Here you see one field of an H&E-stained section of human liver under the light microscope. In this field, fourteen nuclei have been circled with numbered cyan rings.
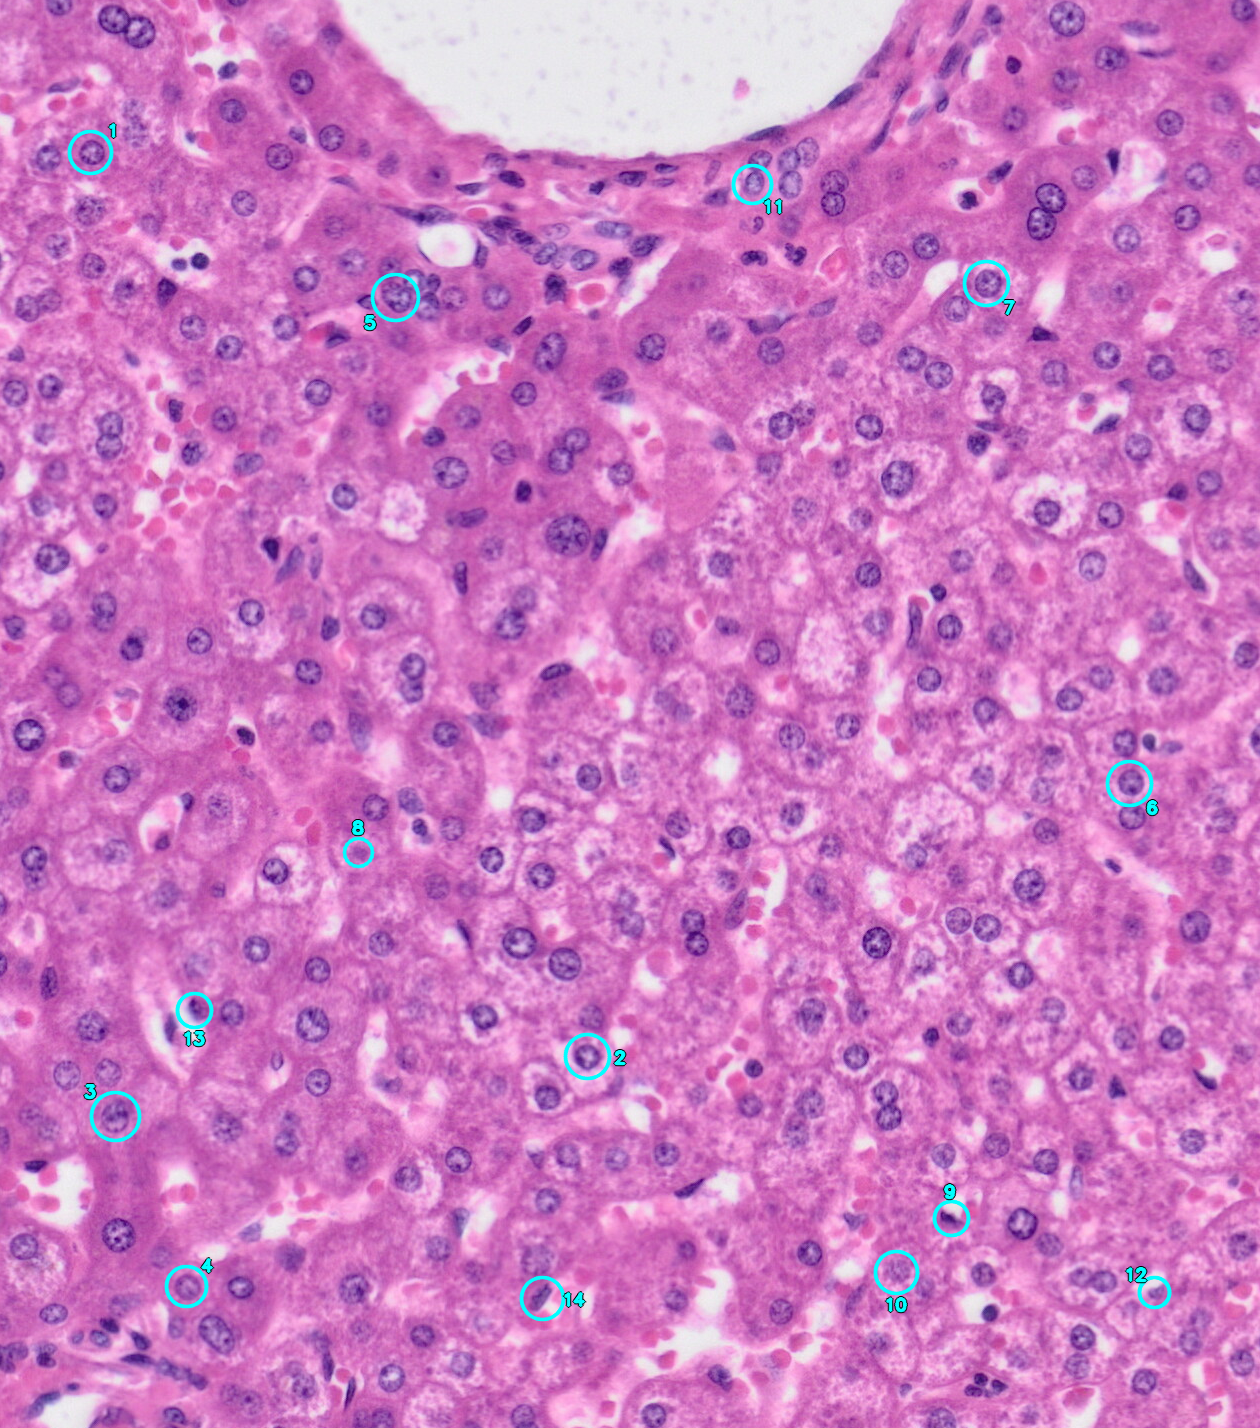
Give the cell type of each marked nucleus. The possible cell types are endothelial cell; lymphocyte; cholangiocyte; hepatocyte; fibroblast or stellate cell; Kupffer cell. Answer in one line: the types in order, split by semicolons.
hepatocyte; hepatocyte; hepatocyte; hepatocyte; cholangiocyte; hepatocyte; hepatocyte; hepatocyte; endothelial cell; hepatocyte; cholangiocyte; endothelial cell; endothelial cell; endothelial cell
